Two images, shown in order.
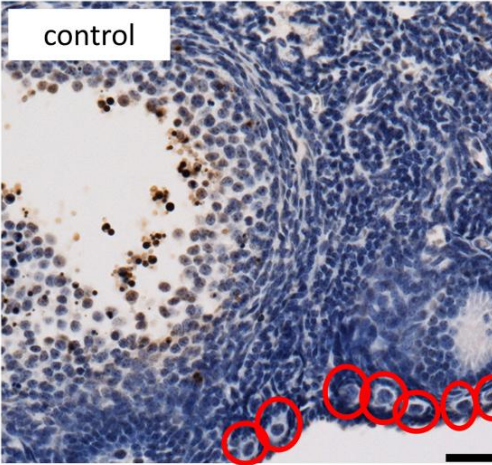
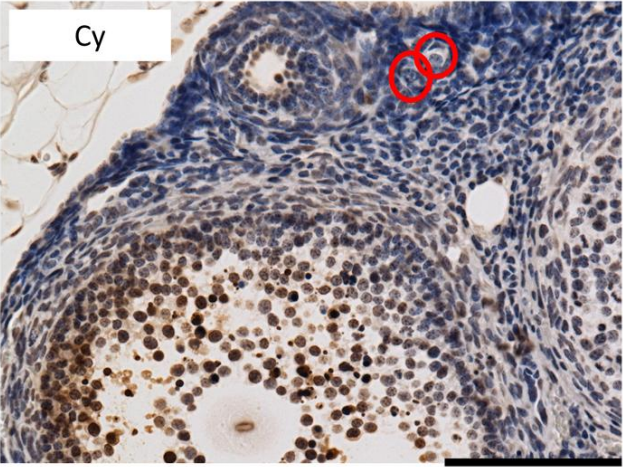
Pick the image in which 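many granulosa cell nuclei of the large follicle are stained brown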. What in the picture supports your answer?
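First image: the layered cells of the growing follicles are mostly blue, with brown specks mainly loose in the cavity. Second image: the many-layered wall of the large follicle is packed with brown nuclei. On this evidence: the second image.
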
